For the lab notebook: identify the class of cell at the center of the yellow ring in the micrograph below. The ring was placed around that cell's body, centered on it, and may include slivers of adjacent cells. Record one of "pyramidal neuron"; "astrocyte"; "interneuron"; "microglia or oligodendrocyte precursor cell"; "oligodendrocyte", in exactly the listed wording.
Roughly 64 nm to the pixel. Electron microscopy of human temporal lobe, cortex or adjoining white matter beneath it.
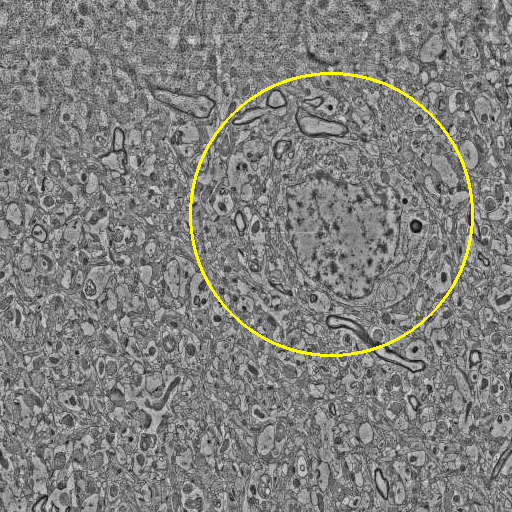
interneuron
